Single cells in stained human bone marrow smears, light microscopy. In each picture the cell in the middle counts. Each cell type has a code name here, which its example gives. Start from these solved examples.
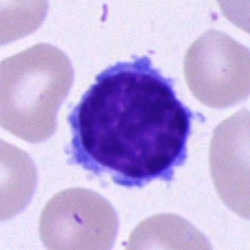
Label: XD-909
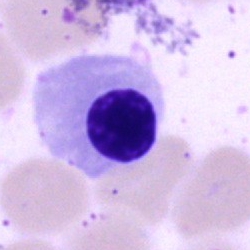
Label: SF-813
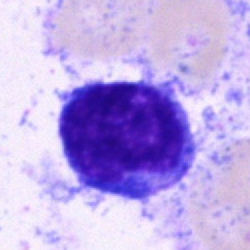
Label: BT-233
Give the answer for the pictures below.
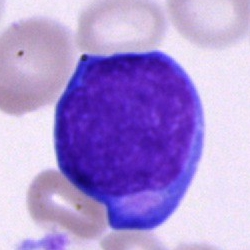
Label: BT-233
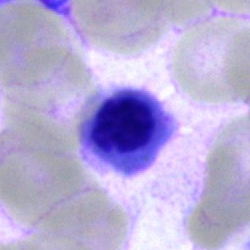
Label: SF-813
